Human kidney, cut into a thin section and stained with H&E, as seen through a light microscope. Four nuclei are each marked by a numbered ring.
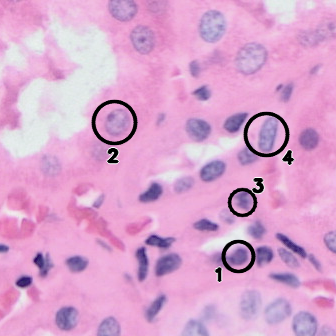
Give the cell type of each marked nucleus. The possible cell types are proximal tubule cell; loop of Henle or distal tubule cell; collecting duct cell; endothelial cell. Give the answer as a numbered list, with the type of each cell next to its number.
1. collecting duct cell
2. proximal tubule cell
3. collecting duct cell
4. collecting duct cell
